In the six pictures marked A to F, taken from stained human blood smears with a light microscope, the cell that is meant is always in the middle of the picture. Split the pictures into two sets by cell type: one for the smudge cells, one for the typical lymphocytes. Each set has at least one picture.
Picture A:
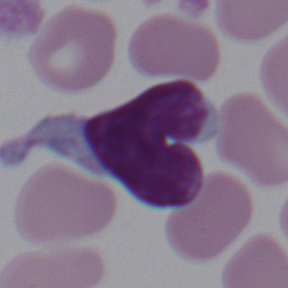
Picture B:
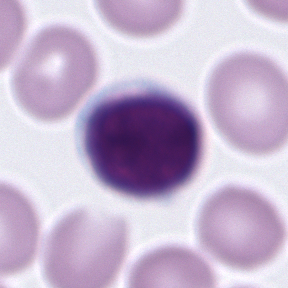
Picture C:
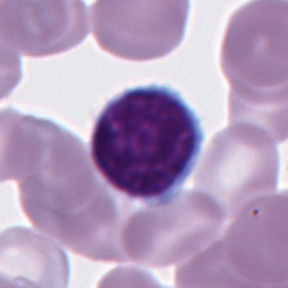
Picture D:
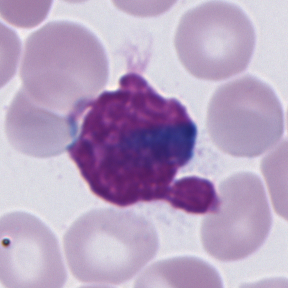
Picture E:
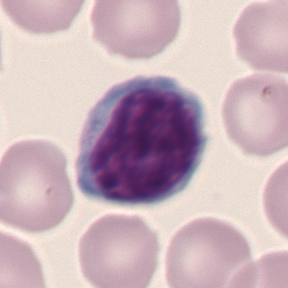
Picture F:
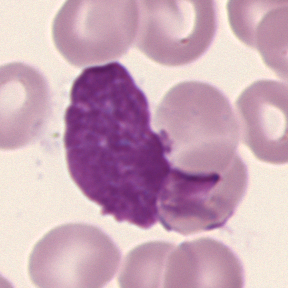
A: typical lymphocyte
B: typical lymphocyte
C: typical lymphocyte
D: smudge cell
E: typical lymphocyte
F: smudge cell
